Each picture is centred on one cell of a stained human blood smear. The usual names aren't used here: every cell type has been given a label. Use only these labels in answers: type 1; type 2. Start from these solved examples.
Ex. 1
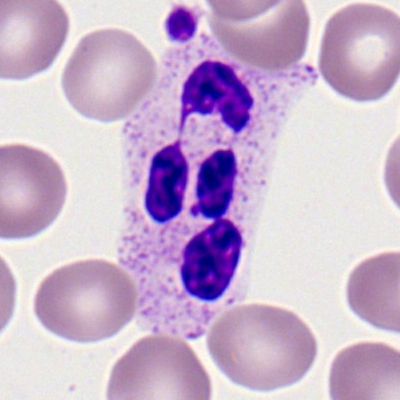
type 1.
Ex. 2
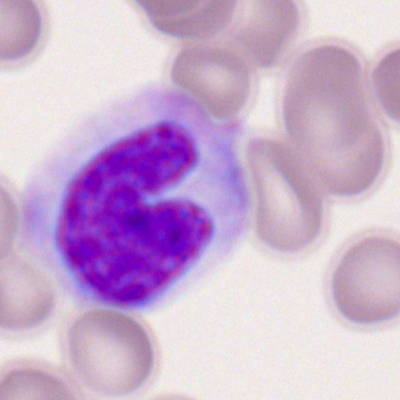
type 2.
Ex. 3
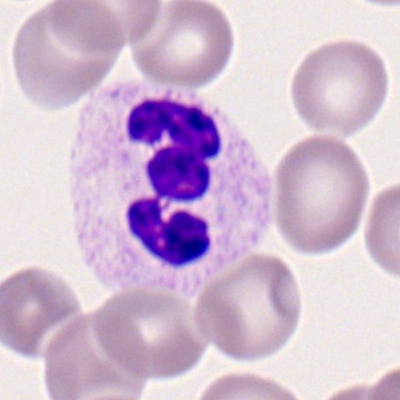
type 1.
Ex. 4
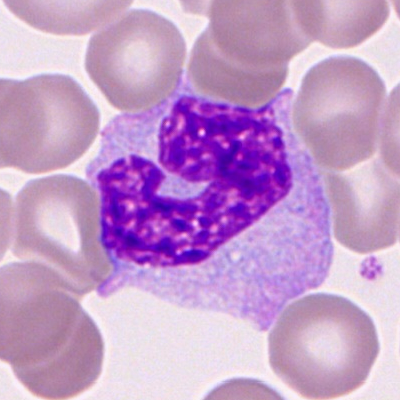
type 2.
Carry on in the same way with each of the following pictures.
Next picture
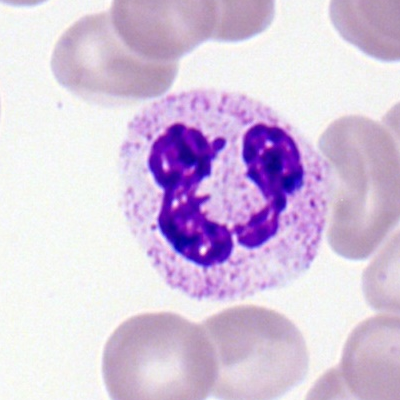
type 1.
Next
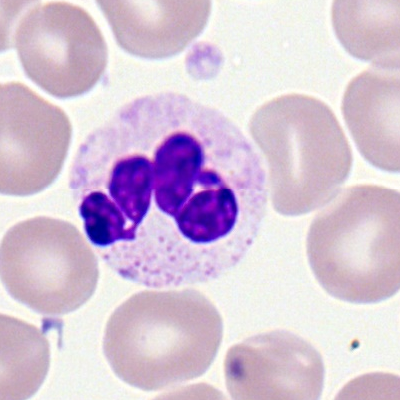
type 1.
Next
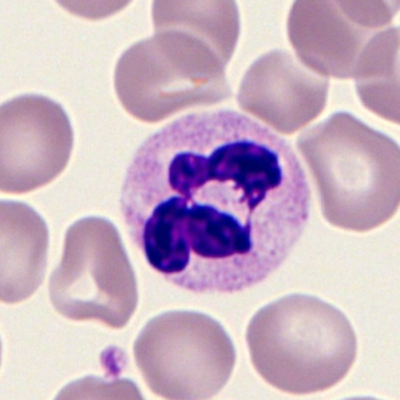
type 1.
